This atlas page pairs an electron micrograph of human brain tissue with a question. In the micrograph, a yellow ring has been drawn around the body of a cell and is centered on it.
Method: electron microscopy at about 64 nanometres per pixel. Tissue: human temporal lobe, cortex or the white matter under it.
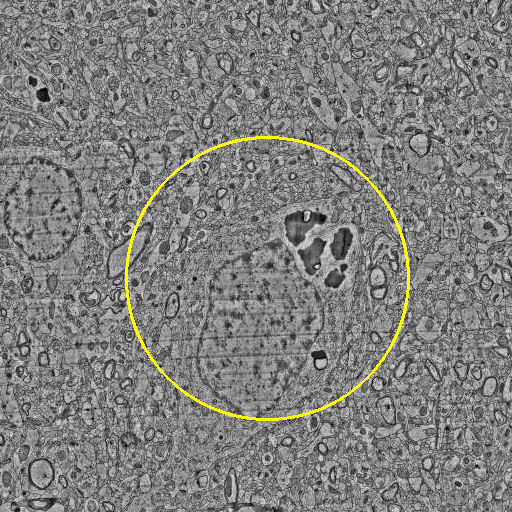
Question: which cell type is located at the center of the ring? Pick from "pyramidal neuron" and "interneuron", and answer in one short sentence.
Located at the center of the ring is an interneuron.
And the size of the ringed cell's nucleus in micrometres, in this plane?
In this plane, the nucleus of the cell at the centre of the ring measures about 11 by 8 micrometres.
